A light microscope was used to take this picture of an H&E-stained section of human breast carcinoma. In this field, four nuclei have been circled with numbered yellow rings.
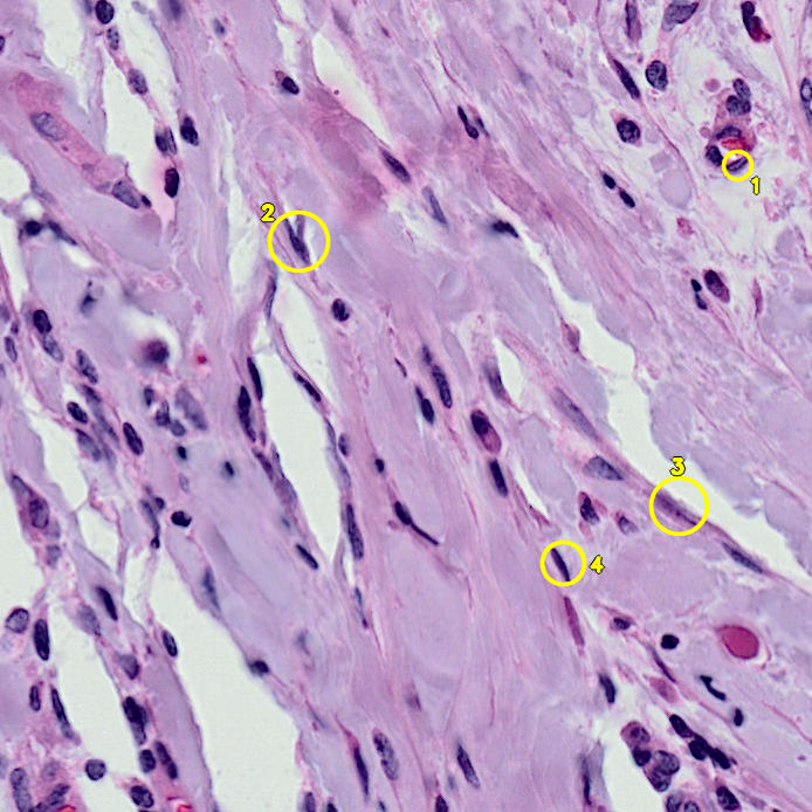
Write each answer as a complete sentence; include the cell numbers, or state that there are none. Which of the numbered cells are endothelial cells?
Cell 1 is the one numbered cell that is an endothelial cell.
